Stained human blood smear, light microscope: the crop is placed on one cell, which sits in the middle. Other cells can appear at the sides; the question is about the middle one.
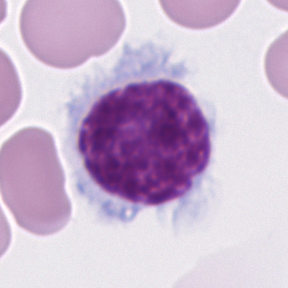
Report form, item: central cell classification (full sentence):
The cell at the heart of this crop is a hairy cell.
